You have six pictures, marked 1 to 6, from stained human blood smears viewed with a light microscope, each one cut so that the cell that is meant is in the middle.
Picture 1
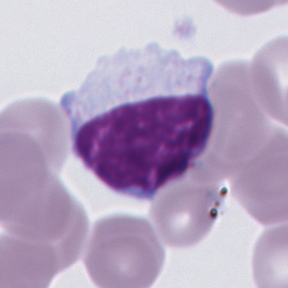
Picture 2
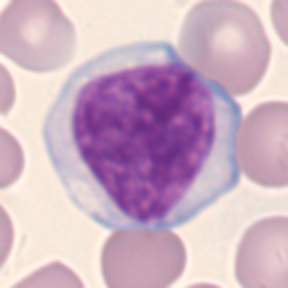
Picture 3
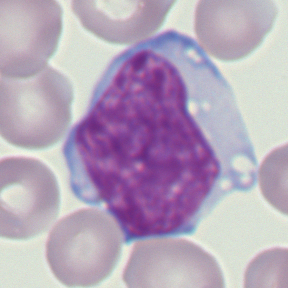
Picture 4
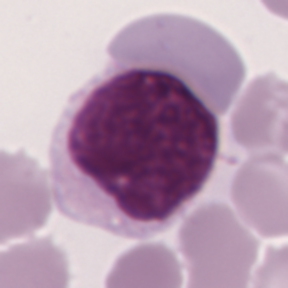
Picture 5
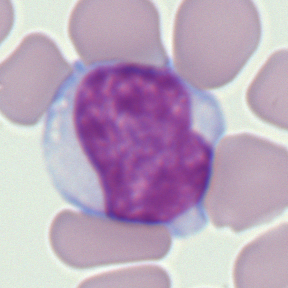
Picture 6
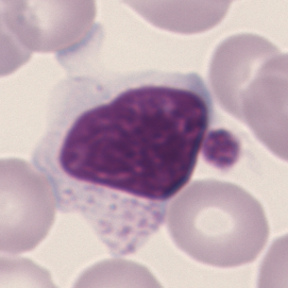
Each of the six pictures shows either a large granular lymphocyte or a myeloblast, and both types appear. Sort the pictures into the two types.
1: large granular lymphocyte
2: myeloblast
3: myeloblast
4: myeloblast
5: myeloblast
6: large granular lymphocyte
